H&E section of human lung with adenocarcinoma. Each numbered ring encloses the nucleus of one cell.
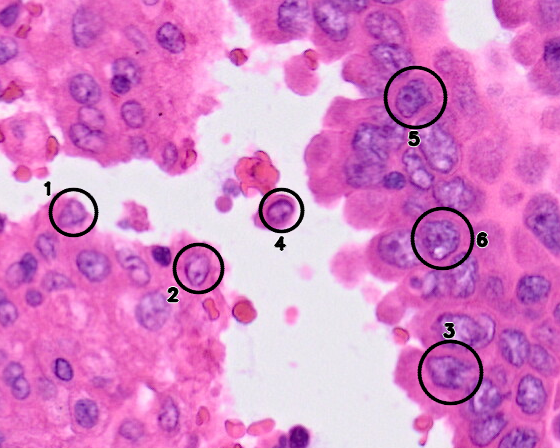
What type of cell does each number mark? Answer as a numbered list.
1. macrophage or monocyte
2. macrophage or monocyte
3. carcinoma cell
4. macrophage or monocyte
5. carcinoma cell
6. carcinoma cell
